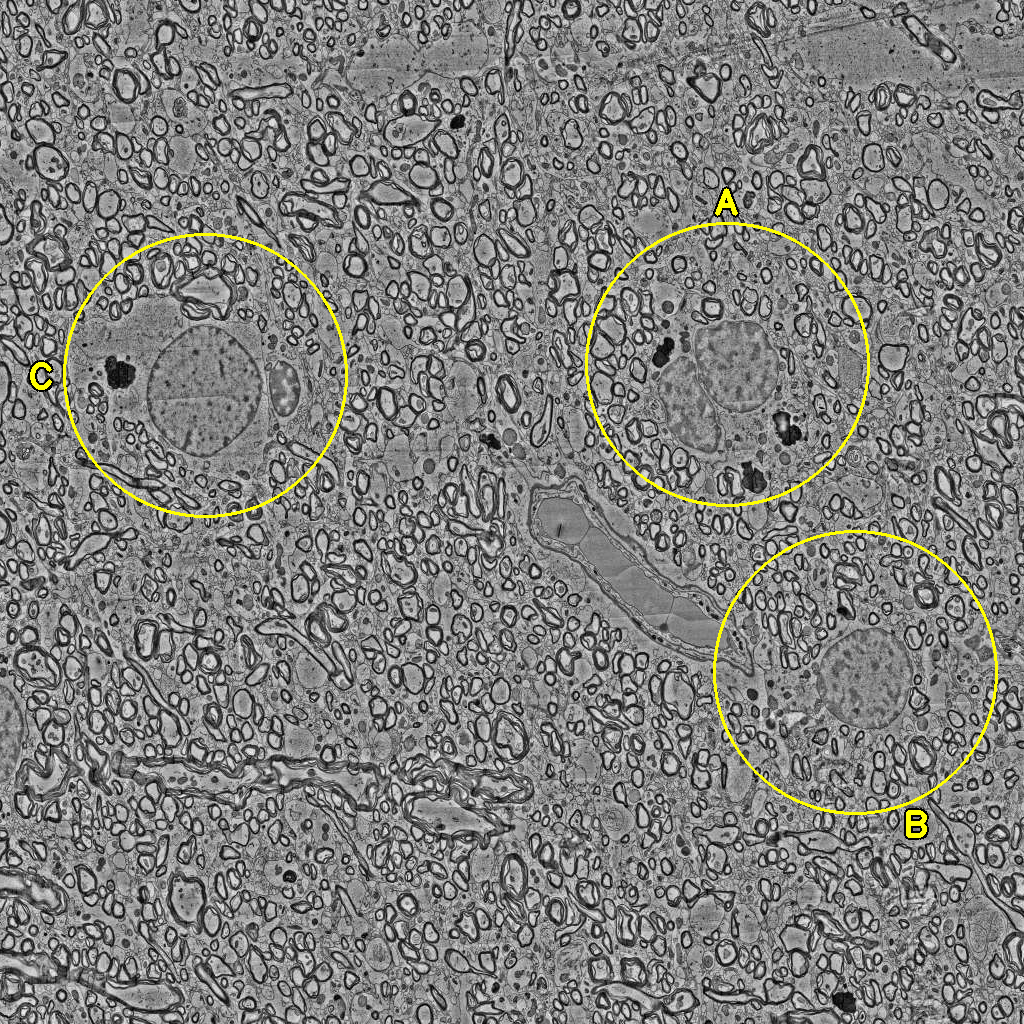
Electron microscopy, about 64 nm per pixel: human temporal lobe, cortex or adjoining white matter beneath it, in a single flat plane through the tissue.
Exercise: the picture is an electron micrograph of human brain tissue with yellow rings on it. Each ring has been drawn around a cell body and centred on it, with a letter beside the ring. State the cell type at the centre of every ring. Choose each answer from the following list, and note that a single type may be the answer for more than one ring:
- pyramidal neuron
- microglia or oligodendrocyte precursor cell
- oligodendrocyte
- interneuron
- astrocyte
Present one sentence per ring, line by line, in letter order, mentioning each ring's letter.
Ring A shows an oligodendrocyte at its centre.
Ring B shows an oligodendrocyte at its centre.
Ring C shows an astrocyte at its centre.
